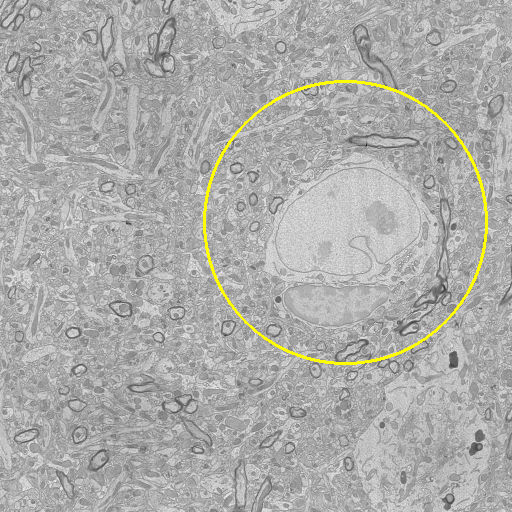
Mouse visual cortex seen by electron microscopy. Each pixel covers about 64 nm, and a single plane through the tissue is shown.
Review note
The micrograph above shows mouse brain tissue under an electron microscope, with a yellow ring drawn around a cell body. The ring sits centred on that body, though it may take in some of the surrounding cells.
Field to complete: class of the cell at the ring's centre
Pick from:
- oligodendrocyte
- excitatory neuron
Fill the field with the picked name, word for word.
excitatory neuron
